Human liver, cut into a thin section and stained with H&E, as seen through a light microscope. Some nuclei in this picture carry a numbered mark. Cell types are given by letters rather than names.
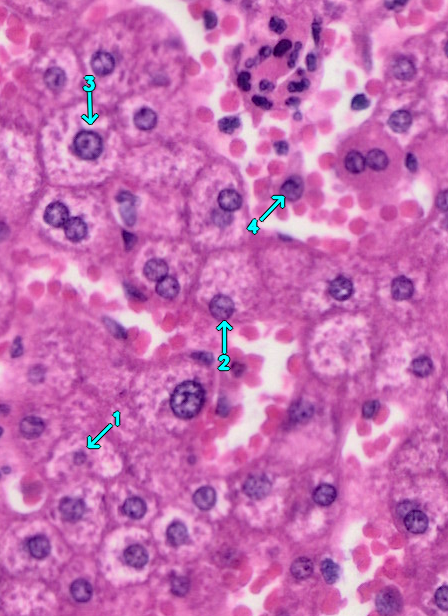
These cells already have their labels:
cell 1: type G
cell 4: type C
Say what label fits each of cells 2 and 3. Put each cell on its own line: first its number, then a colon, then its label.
2: type G
3: type G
